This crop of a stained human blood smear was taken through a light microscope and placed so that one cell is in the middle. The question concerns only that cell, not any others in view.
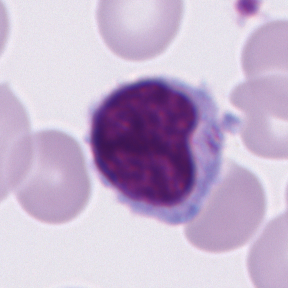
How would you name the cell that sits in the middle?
large granular lymphocyte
